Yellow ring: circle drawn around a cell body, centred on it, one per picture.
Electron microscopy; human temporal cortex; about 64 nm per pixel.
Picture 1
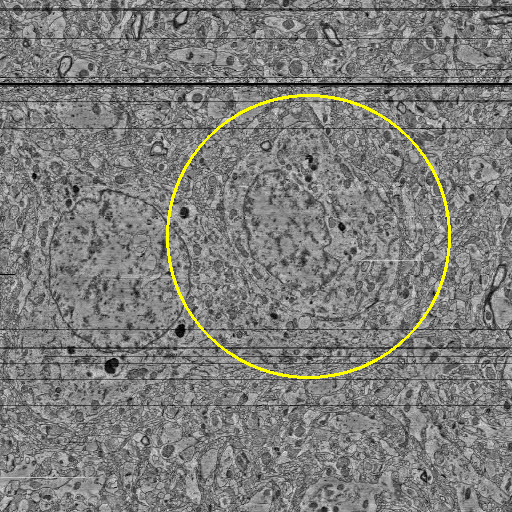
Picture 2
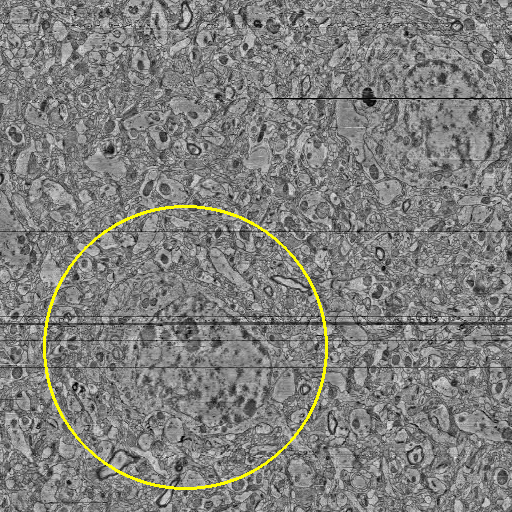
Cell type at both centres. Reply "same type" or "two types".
same type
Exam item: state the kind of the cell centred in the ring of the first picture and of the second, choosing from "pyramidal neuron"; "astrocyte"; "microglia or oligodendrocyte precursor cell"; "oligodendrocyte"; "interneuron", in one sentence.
The first and the second cell are each an interneuron.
